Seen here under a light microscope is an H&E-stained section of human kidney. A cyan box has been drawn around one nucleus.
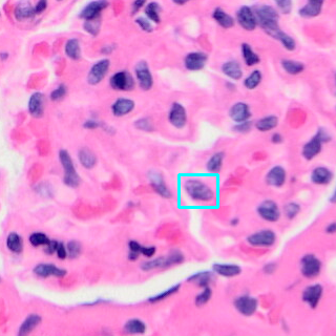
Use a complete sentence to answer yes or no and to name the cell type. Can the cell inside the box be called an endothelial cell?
Yes, the cell inside the box is assigned the identity of an endothelial cell.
